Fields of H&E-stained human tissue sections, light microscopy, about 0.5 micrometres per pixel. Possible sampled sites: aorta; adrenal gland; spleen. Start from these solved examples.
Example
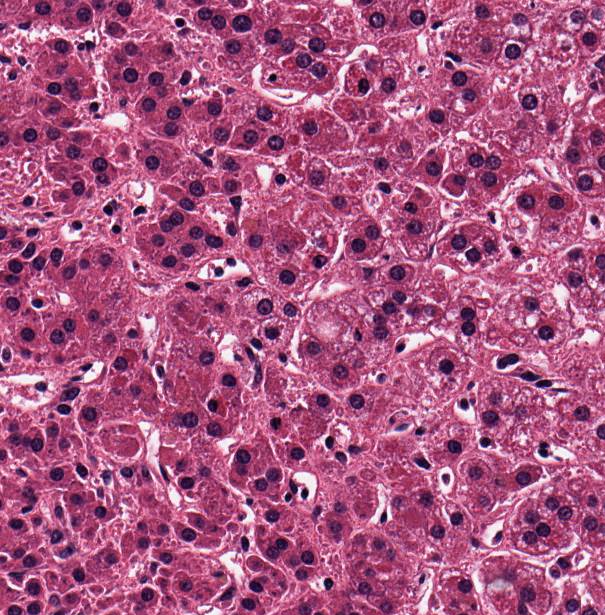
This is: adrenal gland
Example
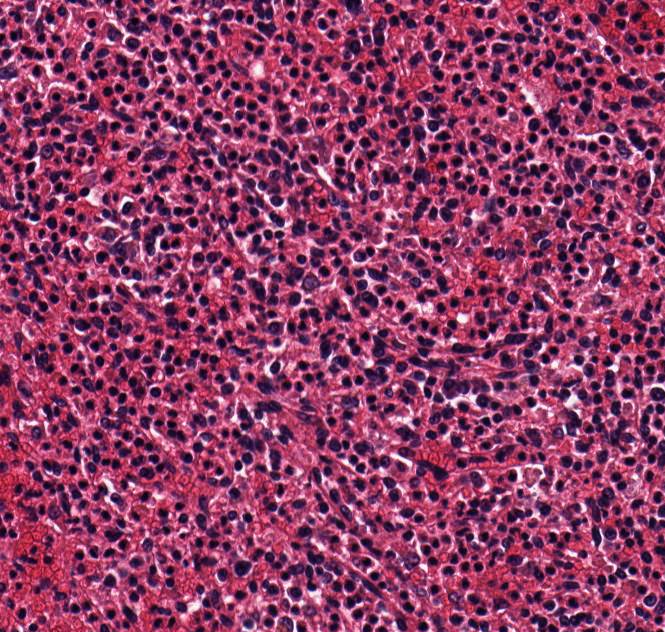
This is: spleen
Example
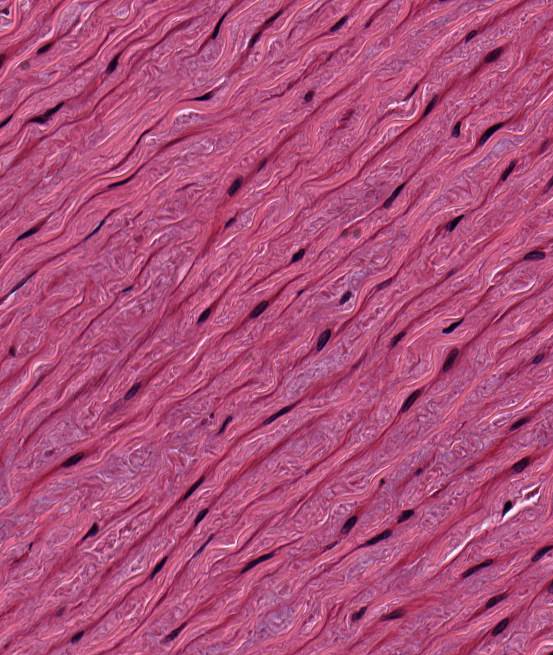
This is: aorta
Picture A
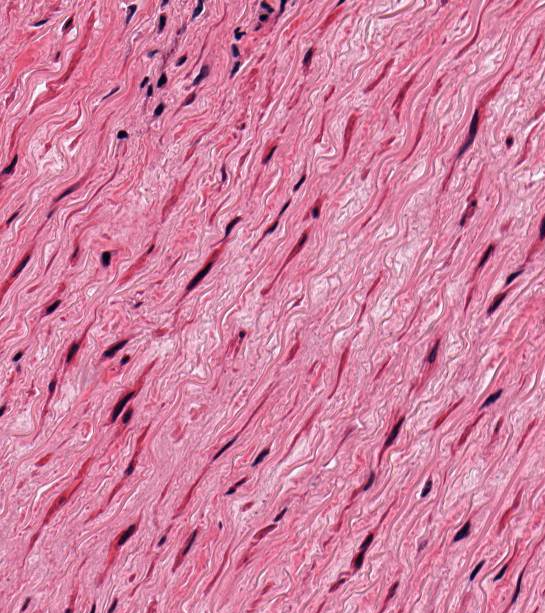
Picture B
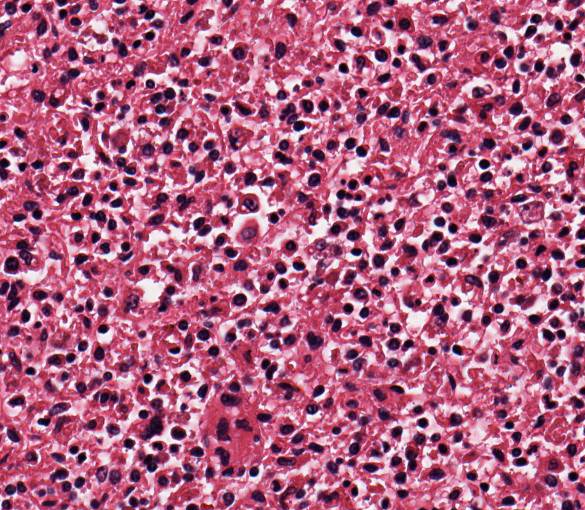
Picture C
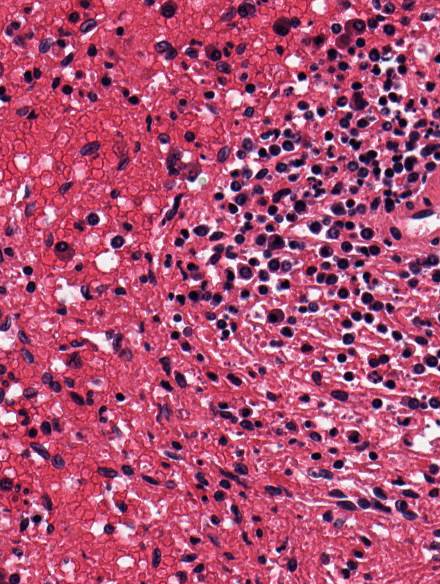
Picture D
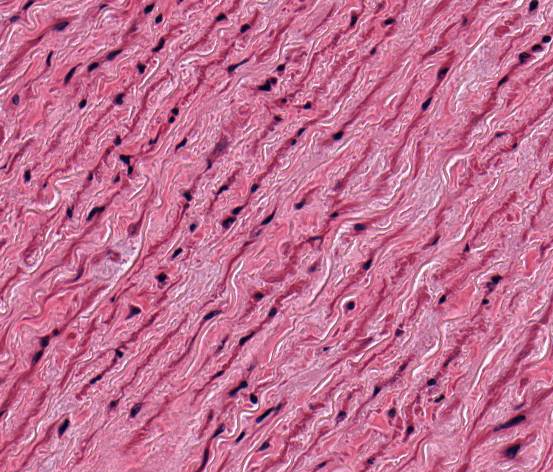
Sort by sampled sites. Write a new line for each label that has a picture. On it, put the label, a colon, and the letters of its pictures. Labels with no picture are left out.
aorta: A, D
spleen: B, C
